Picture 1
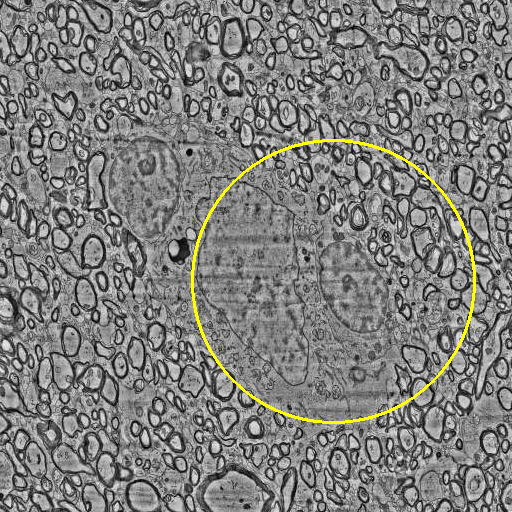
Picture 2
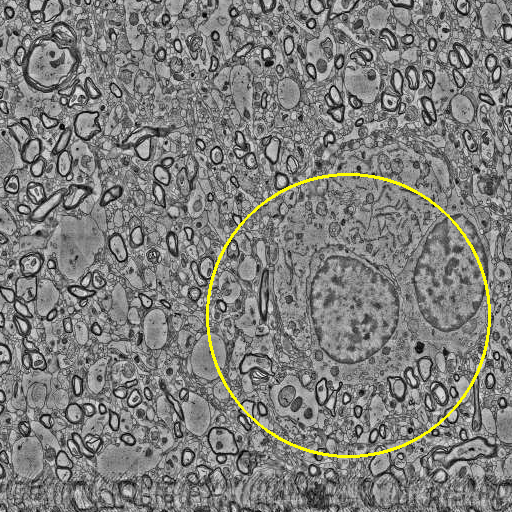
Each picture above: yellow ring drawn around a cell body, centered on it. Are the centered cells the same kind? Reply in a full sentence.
Yes, the two cells are the same kind.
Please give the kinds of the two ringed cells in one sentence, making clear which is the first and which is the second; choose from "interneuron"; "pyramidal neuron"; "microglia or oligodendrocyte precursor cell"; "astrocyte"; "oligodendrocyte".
The ring centre holds an oligodendrocyte in each of the two pictures.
